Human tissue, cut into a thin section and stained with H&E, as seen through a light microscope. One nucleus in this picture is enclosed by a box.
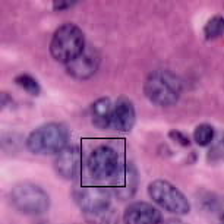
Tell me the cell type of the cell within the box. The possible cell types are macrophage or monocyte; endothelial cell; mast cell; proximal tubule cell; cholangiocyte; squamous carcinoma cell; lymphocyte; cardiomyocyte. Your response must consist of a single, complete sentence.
The cell type represented by the cell within the box is that of a cholangiocyte.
